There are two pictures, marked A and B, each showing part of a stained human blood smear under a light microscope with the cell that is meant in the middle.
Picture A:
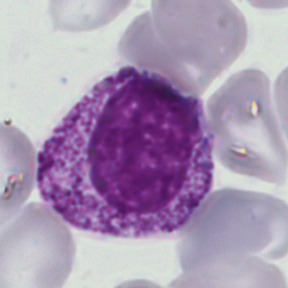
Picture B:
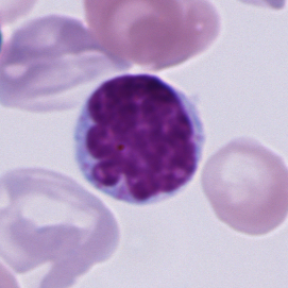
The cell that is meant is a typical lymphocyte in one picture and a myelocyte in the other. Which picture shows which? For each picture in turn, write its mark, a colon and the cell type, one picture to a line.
A: myelocyte
B: typical lymphocyte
